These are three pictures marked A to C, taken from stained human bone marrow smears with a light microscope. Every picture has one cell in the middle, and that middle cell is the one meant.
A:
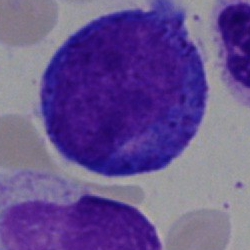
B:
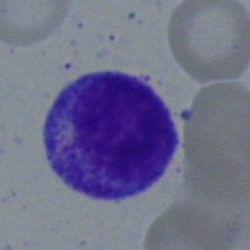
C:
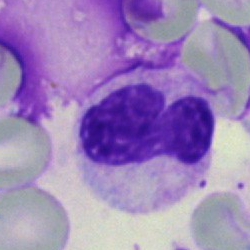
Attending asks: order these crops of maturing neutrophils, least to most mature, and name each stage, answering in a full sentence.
Starting with the least mature and ending with the most mature, the order is crop A (a promyelocyte), crop B (a myelocyte) and crop C (a band neutrophil).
